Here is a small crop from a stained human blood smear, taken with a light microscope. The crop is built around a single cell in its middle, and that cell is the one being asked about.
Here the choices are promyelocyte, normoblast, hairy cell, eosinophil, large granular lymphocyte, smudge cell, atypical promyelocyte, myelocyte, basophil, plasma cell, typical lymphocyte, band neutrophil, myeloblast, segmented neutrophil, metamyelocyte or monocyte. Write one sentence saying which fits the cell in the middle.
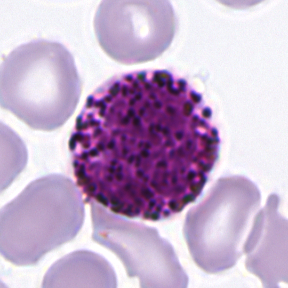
The centrally placed cell is classified as a basophil.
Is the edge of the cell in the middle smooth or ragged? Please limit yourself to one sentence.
Smooth edges only, with no spikes, blebs, or other projections.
